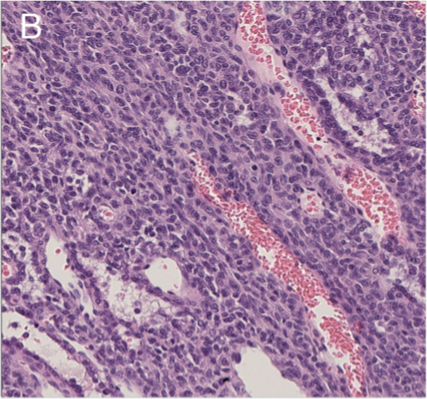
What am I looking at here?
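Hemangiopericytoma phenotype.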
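This is a highly cellular tumour made of closely packed round to oval cells arranged around vessels. The nuclei are dark and crowded, with only scant cytoplasm around them. Thin-walled, dilated and branching vessels run through the tumour and are filled with red blood cells. The tumour cells sit right up against the vessel walls with little intervening stroma. Some small empty spaces lie between the cell sheets.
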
